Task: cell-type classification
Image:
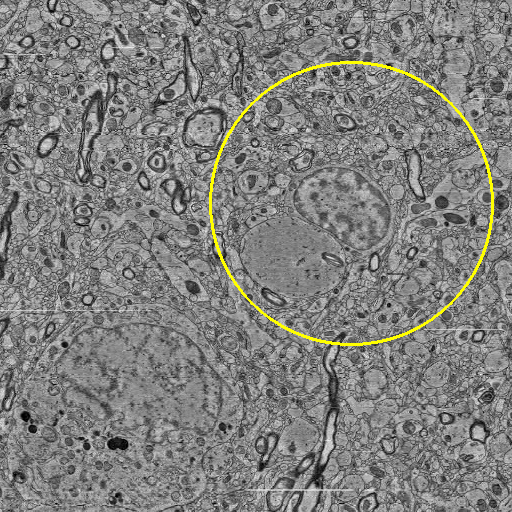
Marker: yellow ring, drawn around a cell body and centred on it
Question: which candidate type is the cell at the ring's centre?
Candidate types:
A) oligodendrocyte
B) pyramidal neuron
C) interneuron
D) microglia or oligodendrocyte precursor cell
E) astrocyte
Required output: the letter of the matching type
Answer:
A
